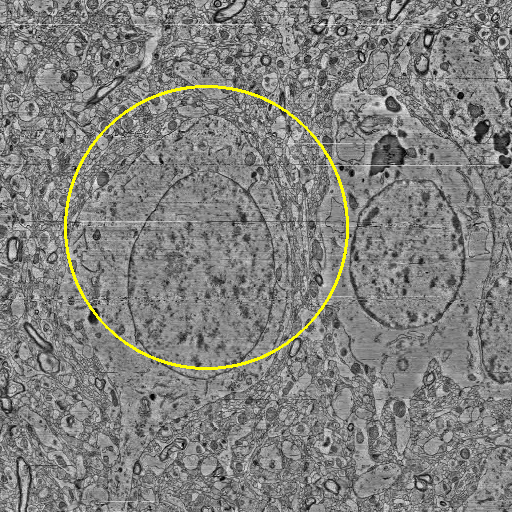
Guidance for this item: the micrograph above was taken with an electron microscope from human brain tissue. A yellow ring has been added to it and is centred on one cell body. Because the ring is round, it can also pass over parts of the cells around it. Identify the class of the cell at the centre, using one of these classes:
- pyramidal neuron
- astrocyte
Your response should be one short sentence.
The ring surrounds the body of a pyramidal neuron.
